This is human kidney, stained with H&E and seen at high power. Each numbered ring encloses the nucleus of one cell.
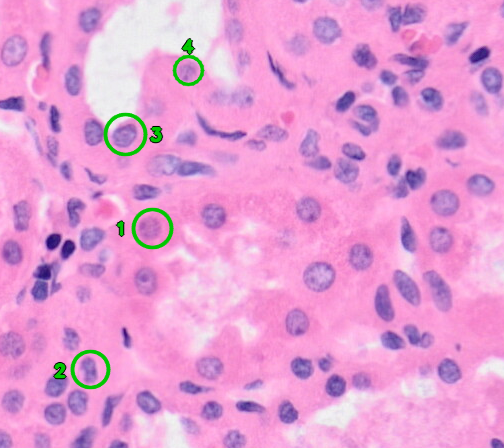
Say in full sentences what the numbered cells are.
Cell 1 is a proximal tubule cell, cell 2 is a loop of Henle or distal tubule cell, cell 3 is a loop of Henle or distal tubule cell and cell 4 is a loop of Henle or distal tubule cell.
